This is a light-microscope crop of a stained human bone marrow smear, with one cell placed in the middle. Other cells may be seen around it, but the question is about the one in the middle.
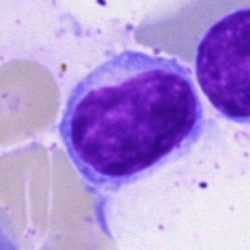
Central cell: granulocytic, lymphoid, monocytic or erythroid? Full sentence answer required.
The lymphoid lineage includes the cell at the center of the crop.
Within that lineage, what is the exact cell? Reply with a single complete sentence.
The cell around which this crop is centred is a lymphocyte.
